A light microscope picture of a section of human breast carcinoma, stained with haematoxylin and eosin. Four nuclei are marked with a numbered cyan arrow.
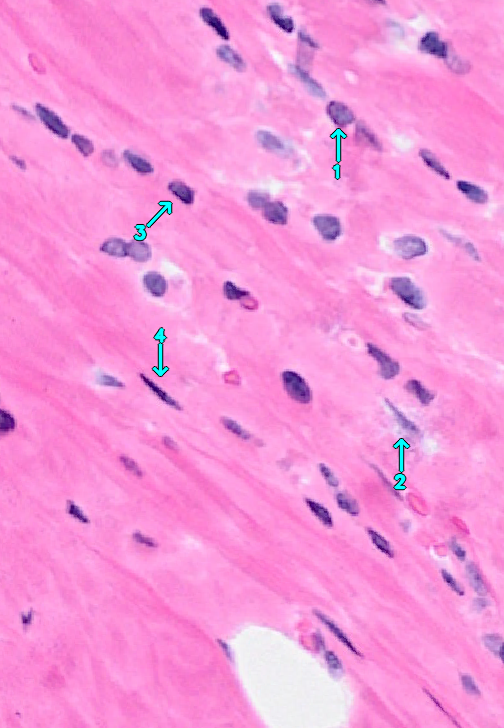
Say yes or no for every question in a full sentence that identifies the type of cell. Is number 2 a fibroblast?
Yes, the cell with the number 2 is a fibroblast.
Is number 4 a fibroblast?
Yes, the cell that is numbered 4 is a fibroblast.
